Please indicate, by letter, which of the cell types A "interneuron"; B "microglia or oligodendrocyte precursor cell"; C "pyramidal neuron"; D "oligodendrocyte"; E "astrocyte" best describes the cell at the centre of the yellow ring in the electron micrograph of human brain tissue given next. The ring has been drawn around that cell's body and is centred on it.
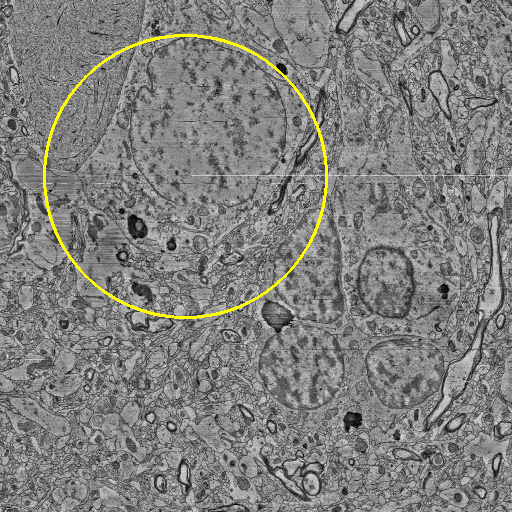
C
